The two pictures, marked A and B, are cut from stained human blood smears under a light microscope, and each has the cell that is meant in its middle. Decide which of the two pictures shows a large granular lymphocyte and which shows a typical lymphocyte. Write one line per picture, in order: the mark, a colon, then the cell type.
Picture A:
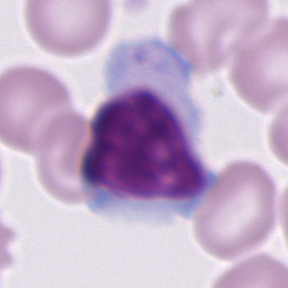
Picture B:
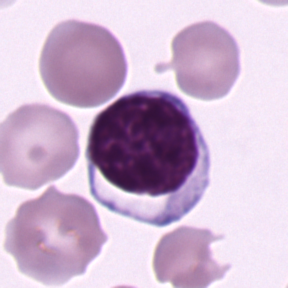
A: large granular lymphocyte
B: typical lymphocyte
